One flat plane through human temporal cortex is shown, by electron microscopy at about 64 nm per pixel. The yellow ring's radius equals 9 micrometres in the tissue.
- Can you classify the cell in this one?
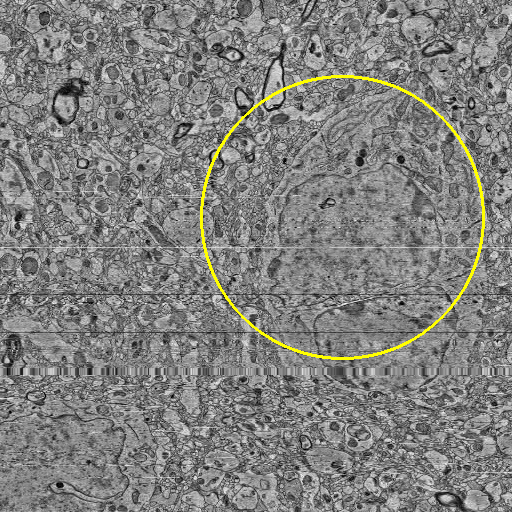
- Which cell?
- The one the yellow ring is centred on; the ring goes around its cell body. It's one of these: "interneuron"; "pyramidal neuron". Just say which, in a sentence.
The cell body in the ring belongs to an interneuron.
